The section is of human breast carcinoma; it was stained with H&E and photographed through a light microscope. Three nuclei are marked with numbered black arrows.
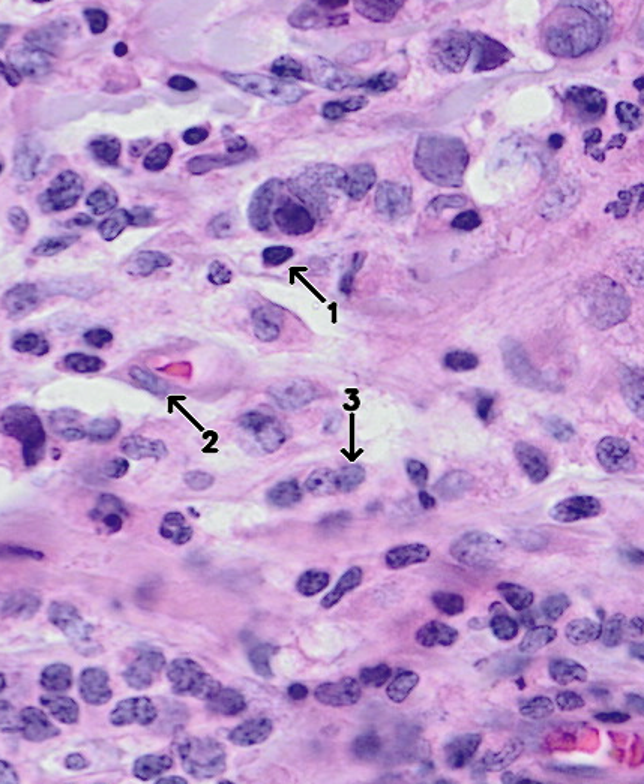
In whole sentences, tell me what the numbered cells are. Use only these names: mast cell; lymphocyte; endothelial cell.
Cell 1 is a lymphocyte. Cell 2 is an endothelial cell. Cell 3 is a mast cell.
